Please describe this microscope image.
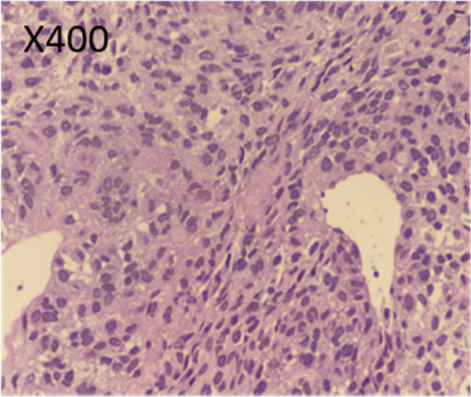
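Tumor tissue made of closely packed spindle to oval cells with dark purple nuclei and pale pink cytoplasm fills the field. The nuclei differ clearly in size and shape, some long and slender, others plump and rounded, and they are crowded with little space between them.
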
